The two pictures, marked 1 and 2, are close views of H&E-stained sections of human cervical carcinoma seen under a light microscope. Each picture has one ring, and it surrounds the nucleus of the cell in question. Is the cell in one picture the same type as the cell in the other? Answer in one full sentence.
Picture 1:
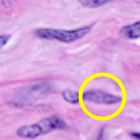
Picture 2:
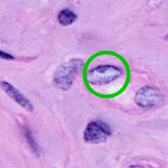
No. Picture 1 shows a smooth muscle cell, but picture 2 shows an endothelial cell.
